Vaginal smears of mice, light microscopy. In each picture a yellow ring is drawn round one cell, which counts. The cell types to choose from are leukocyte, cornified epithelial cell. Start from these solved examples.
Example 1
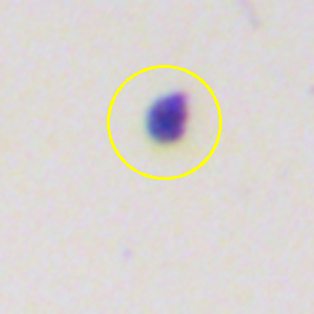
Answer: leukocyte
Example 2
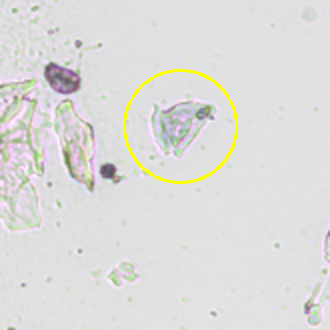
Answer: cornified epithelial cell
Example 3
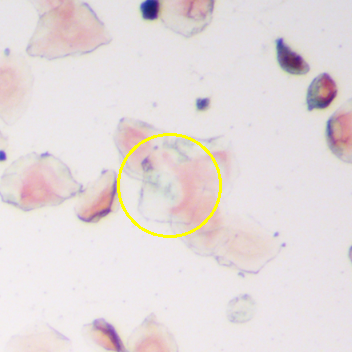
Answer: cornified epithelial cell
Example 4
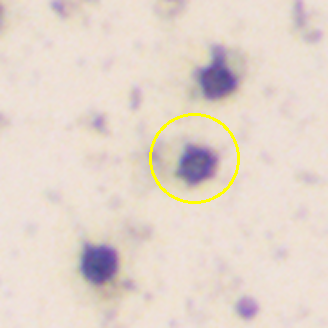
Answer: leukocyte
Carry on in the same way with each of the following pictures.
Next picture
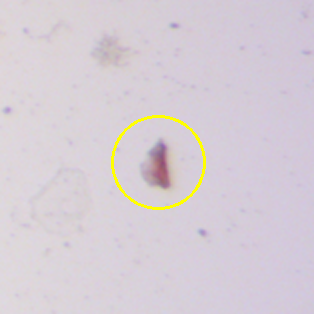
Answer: cornified epithelial cell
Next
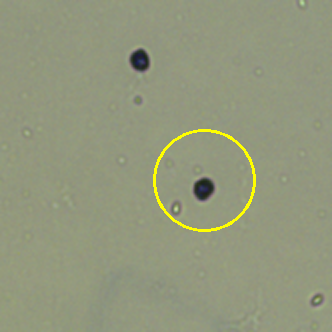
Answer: leukocyte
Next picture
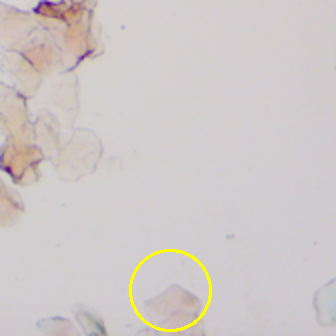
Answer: cornified epithelial cell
